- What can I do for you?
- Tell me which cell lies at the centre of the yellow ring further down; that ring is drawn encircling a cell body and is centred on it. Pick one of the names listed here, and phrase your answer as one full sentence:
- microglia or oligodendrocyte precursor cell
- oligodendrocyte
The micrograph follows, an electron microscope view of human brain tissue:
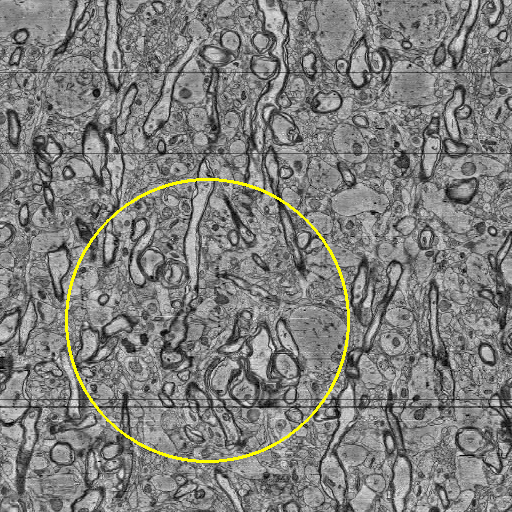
The cell whose body lies at the centre of the yellow ring is a microglial cell or oligodendrocyte precursor cell.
